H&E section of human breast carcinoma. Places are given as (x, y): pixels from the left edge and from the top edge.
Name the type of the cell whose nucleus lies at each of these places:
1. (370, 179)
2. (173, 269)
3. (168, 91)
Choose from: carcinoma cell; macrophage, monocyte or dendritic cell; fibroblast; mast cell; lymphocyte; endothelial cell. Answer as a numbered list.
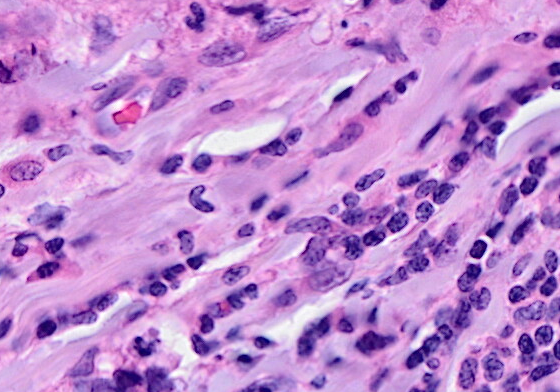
1. lymphocyte
2. lymphocyte
3. endothelial cell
